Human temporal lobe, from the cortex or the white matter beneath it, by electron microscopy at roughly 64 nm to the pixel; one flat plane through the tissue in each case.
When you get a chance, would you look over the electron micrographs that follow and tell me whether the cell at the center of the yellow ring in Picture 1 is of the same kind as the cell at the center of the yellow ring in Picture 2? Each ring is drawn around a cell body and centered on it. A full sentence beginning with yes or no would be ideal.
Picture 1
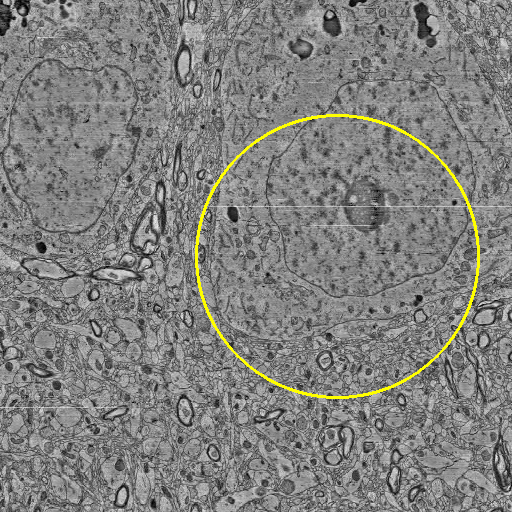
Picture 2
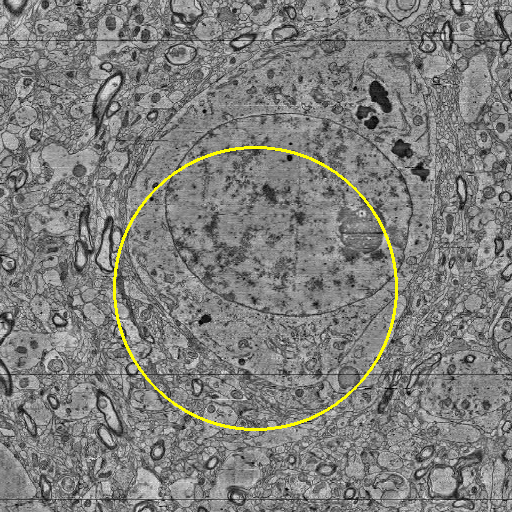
Yes, the two cells are of the same kind.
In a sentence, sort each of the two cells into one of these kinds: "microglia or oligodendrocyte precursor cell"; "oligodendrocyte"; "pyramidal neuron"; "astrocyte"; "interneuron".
The second cell is a pyramidal neuron, just as the first is.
